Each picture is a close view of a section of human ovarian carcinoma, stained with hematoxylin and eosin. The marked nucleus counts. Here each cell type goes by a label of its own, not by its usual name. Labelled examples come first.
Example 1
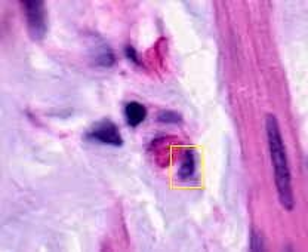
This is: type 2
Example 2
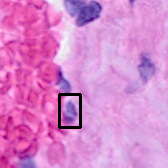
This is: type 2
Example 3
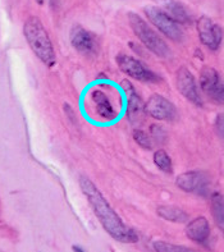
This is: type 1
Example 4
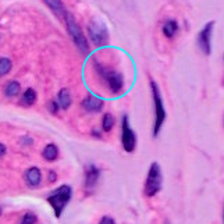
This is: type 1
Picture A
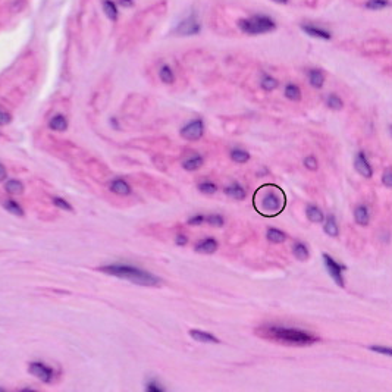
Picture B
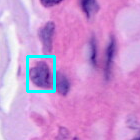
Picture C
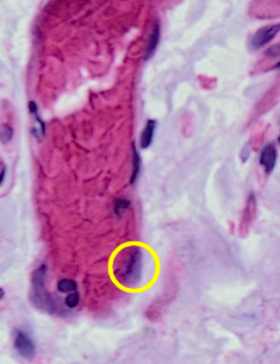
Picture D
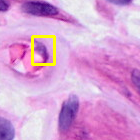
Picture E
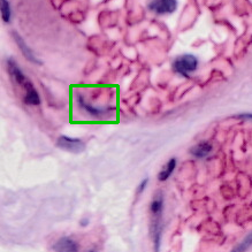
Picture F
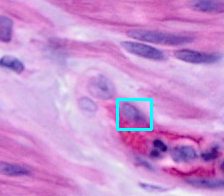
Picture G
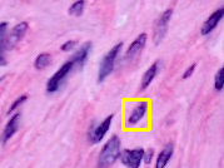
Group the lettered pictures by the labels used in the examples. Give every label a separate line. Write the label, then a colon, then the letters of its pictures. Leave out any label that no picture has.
type 2: C, D, E, F
type 1: A, B, G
